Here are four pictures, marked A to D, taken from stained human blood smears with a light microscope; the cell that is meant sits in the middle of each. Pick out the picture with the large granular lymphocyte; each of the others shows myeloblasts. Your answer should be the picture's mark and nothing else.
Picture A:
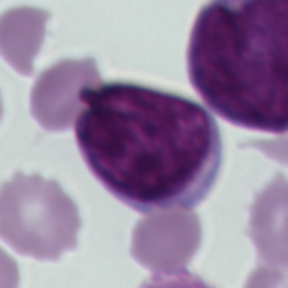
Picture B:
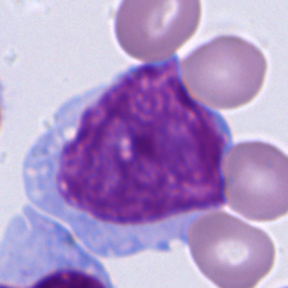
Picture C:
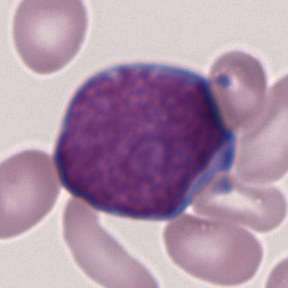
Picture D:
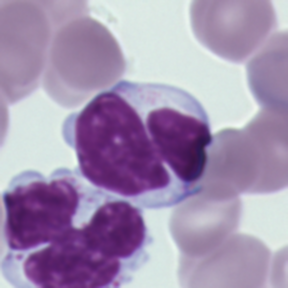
D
